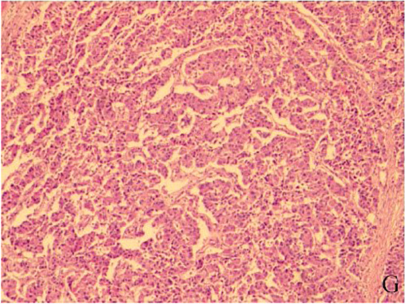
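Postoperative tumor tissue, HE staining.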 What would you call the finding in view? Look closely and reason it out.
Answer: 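Abundant and acidophilic cytoplasm. Tumor cells have plentiful pink-staining cytoplasm. Nuclei are small relative to the pink cytoplasm.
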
